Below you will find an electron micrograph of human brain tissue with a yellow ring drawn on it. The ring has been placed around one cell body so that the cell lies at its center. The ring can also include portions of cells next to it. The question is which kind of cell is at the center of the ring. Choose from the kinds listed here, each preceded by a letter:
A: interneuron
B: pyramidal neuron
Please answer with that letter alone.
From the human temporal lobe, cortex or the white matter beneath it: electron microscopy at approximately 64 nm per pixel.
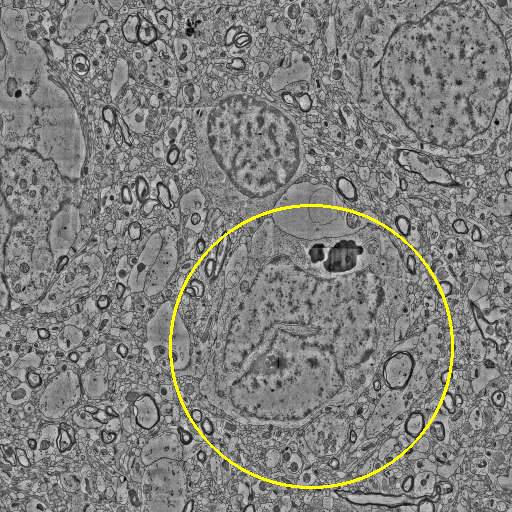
A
